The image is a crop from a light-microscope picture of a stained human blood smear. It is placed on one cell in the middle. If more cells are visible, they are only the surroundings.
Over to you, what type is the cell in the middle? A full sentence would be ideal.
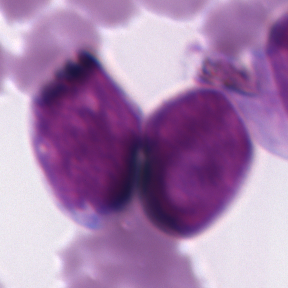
To answer, the cell in the center of the crop is a myeloblast.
